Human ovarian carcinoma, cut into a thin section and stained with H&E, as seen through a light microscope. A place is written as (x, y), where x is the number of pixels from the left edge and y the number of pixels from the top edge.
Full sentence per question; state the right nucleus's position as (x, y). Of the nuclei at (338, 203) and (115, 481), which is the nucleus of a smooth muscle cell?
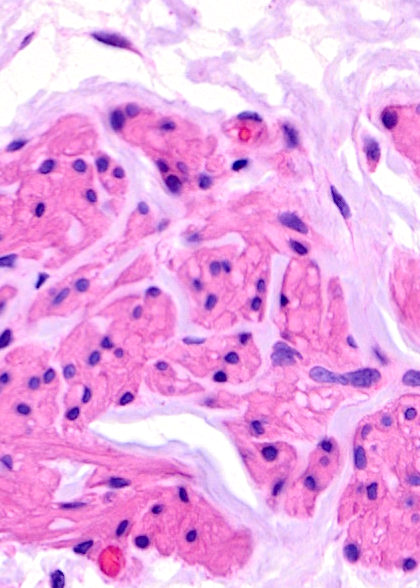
The nucleus positioned at (115, 481) is the one that belongs to a smooth muscle cell.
